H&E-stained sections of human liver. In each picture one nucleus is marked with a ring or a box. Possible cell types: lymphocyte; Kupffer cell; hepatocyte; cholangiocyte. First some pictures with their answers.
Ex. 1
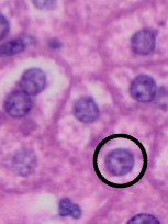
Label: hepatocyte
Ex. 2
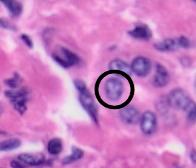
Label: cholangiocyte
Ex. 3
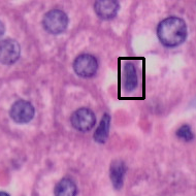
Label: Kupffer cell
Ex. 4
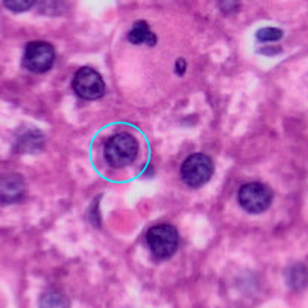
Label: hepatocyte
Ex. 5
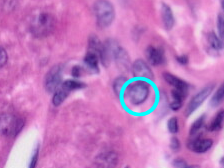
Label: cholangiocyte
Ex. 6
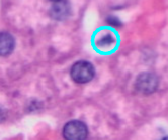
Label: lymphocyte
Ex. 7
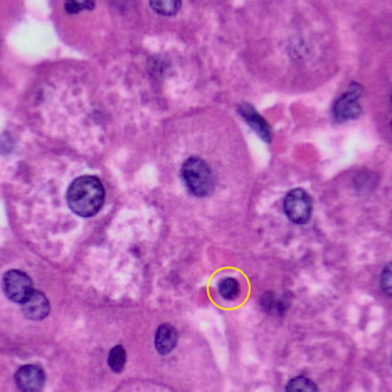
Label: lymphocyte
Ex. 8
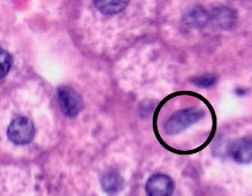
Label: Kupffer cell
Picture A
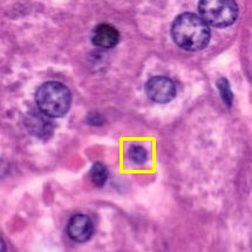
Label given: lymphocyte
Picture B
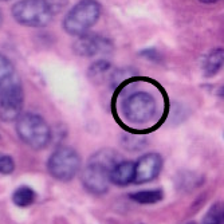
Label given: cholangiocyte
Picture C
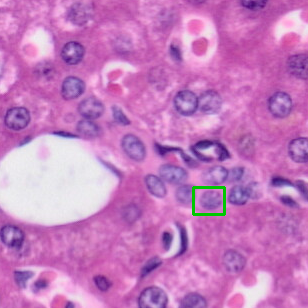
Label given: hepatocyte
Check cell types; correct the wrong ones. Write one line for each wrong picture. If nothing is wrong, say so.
Wrong: C (hepatocyte); correct: cholangiocyte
